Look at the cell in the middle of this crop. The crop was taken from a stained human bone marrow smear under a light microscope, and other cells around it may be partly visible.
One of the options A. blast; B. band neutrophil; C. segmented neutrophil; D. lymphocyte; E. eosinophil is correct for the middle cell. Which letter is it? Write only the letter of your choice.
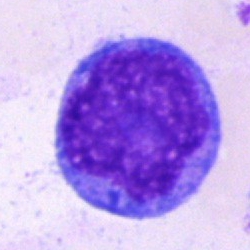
A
